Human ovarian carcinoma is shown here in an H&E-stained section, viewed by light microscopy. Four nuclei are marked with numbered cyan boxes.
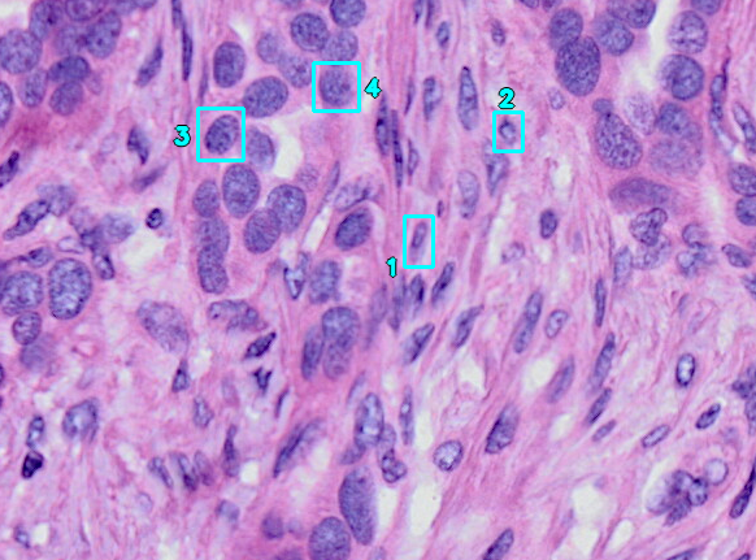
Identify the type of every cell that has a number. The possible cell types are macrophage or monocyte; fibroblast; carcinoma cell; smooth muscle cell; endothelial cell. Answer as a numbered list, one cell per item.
1. fibroblast
2. fibroblast
3. carcinoma cell
4. carcinoma cell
